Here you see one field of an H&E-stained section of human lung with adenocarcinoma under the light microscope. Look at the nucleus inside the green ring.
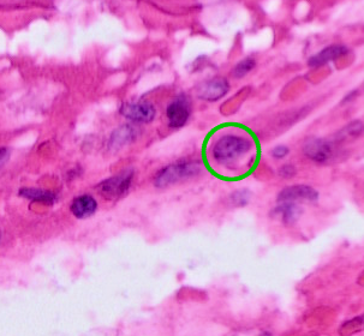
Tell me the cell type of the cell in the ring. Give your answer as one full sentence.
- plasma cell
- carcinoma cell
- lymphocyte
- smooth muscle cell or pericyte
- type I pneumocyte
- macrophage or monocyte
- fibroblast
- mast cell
Among the cells in this section, the cell in the ring is a macrophage or monocyte.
